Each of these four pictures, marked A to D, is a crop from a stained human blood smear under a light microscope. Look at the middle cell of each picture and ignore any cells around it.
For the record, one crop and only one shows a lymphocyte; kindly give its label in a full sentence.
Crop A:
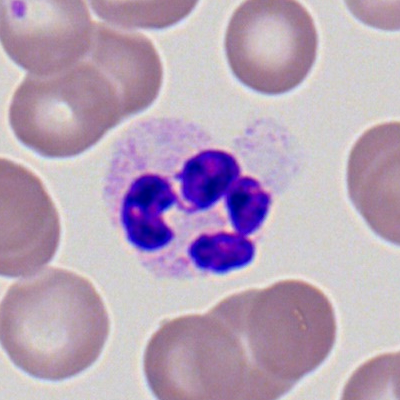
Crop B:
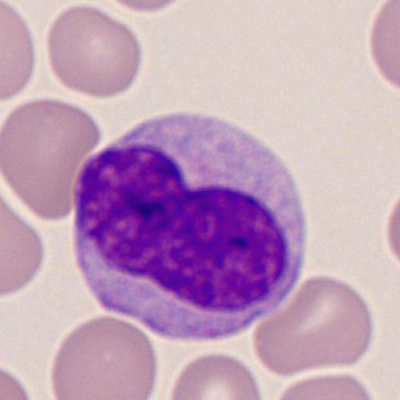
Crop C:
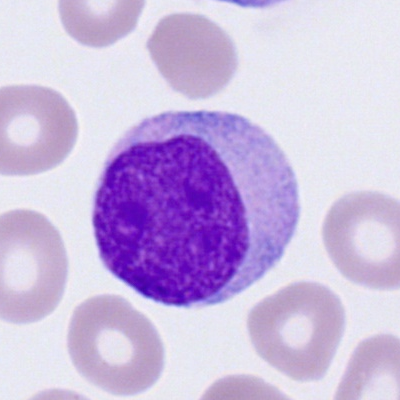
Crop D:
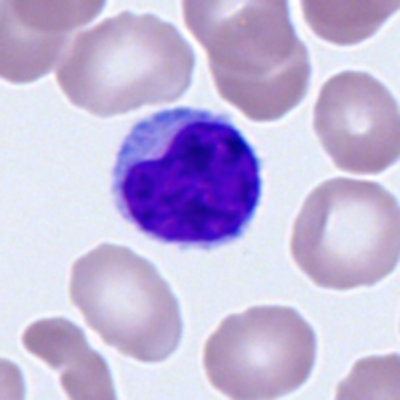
Of the crops given, a lymphocyte is found in crop D.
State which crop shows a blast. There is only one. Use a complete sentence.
Within this set, crop C is the one with a blast at its center.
